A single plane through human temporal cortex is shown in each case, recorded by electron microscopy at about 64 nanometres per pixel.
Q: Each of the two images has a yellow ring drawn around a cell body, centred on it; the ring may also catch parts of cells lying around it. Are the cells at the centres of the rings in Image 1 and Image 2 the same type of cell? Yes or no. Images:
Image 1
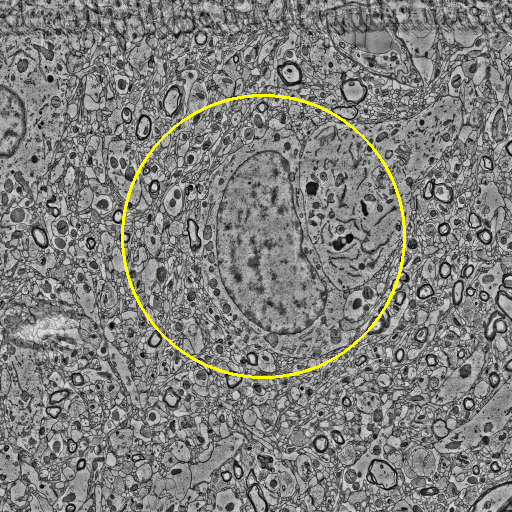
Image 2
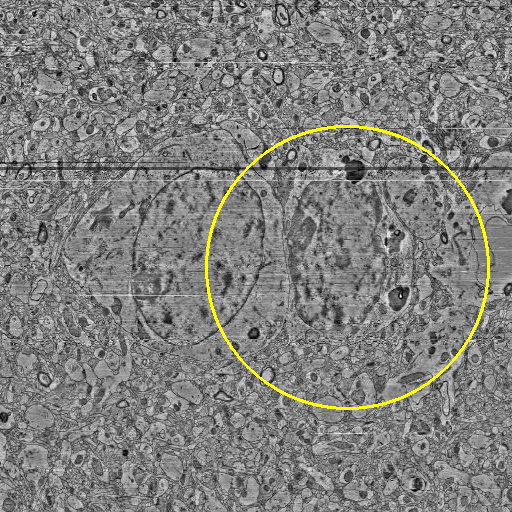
yes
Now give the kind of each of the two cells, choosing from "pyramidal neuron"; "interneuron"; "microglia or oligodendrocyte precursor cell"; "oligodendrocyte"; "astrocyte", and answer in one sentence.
The first and the second cell are each an interneuron.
